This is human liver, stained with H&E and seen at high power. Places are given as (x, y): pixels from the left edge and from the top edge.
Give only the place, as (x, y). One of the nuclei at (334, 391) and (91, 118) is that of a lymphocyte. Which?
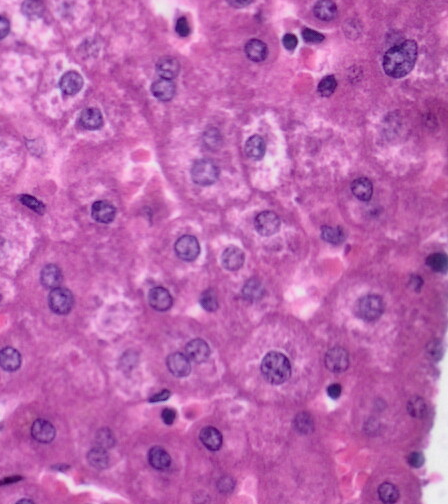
(334, 391)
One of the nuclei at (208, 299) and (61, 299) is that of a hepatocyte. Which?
(61, 299)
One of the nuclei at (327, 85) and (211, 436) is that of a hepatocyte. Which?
(211, 436)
